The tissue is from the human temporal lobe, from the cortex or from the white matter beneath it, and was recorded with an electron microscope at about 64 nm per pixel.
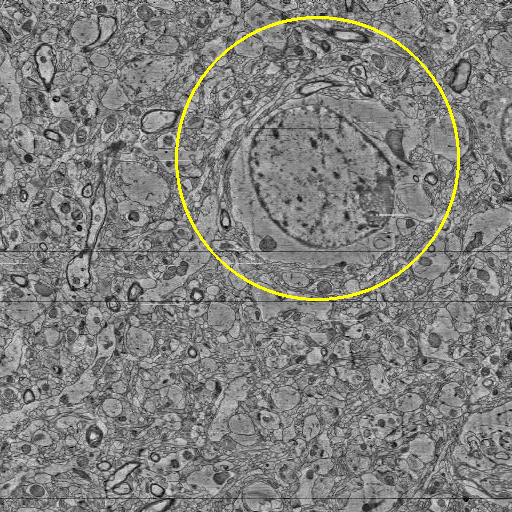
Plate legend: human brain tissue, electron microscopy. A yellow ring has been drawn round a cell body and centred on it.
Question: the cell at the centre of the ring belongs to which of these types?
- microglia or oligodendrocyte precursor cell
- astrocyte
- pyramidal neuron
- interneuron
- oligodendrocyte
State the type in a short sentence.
The cell in the middle of the ring is an astrocyte.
